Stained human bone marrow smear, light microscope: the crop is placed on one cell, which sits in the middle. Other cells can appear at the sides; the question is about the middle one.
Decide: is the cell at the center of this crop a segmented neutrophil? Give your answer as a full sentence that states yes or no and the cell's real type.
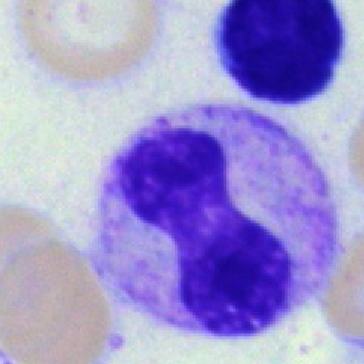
No, the cell in the centre is a band neutrophil instead of a segmented neutrophil.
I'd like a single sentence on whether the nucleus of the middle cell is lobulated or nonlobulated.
The nucleus has been partitioned into two or more lobes.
